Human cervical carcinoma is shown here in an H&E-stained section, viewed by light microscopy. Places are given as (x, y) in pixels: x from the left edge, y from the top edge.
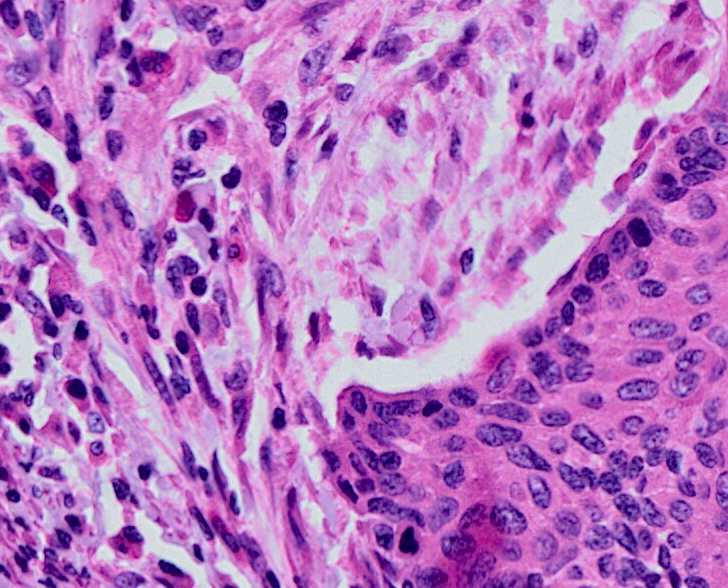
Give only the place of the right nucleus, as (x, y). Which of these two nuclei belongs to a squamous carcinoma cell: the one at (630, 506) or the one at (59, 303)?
(630, 506)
